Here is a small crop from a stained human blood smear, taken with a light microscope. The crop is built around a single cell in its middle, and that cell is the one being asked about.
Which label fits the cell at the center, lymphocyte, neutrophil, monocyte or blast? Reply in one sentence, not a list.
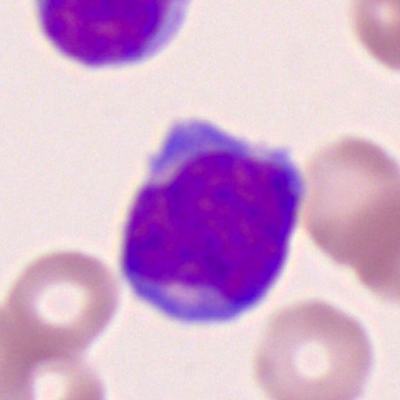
The cell at the middle of the crop is recognized as a blast.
